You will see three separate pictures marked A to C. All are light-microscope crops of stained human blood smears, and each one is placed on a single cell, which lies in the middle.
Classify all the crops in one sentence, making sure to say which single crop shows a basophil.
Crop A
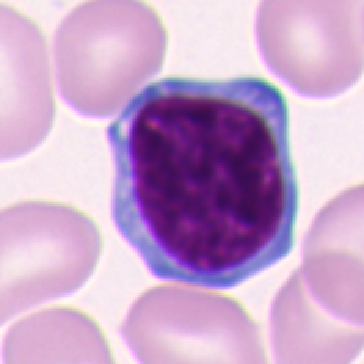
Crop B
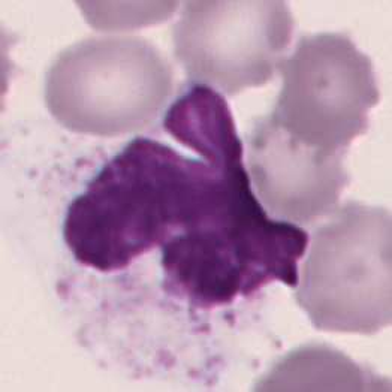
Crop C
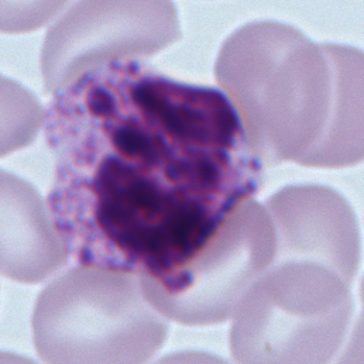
The cell at the centre of crop C is a basophil, while crop A is a typical lymphocyte and crop B is a segmented neutrophil.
